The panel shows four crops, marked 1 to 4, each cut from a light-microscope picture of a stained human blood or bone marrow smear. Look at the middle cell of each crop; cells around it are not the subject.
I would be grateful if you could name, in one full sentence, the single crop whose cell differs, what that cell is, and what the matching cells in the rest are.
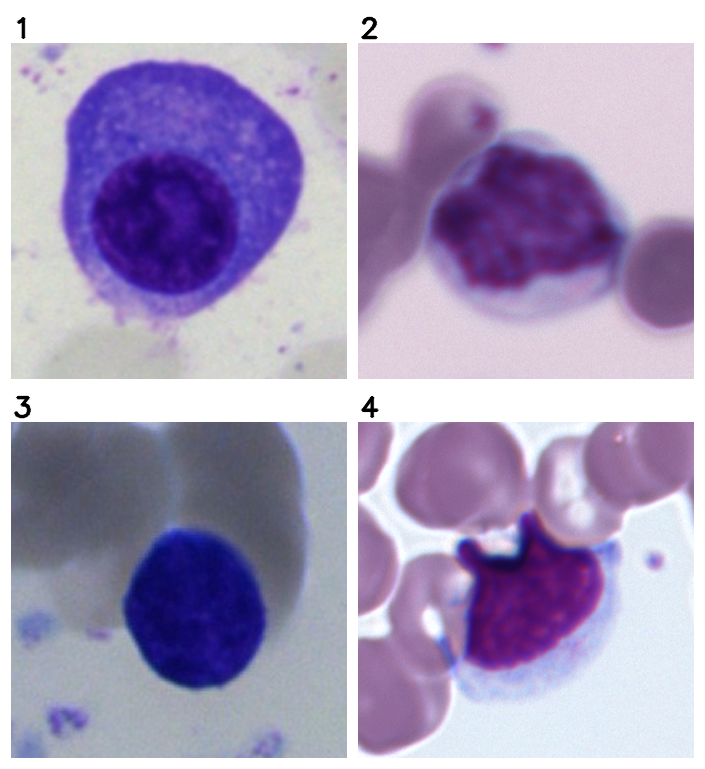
Only in crop 1 is there a plasma cell; all other crops show lymphocytes.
